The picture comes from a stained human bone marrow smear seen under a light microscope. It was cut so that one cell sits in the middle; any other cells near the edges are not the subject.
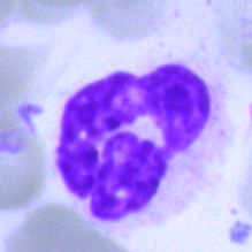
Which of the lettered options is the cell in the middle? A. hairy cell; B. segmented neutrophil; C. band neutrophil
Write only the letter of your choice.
B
